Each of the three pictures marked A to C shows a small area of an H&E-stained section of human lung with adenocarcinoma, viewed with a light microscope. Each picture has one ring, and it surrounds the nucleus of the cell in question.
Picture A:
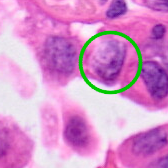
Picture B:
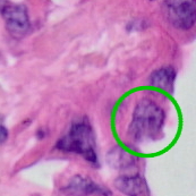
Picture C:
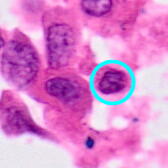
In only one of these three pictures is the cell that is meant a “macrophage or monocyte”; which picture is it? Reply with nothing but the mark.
C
